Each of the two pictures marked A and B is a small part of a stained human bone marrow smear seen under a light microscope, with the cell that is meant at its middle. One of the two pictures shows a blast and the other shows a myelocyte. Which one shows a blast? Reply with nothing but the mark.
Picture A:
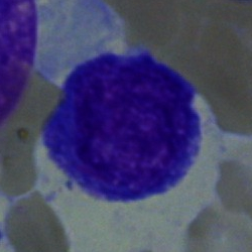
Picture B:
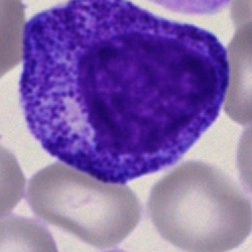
A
